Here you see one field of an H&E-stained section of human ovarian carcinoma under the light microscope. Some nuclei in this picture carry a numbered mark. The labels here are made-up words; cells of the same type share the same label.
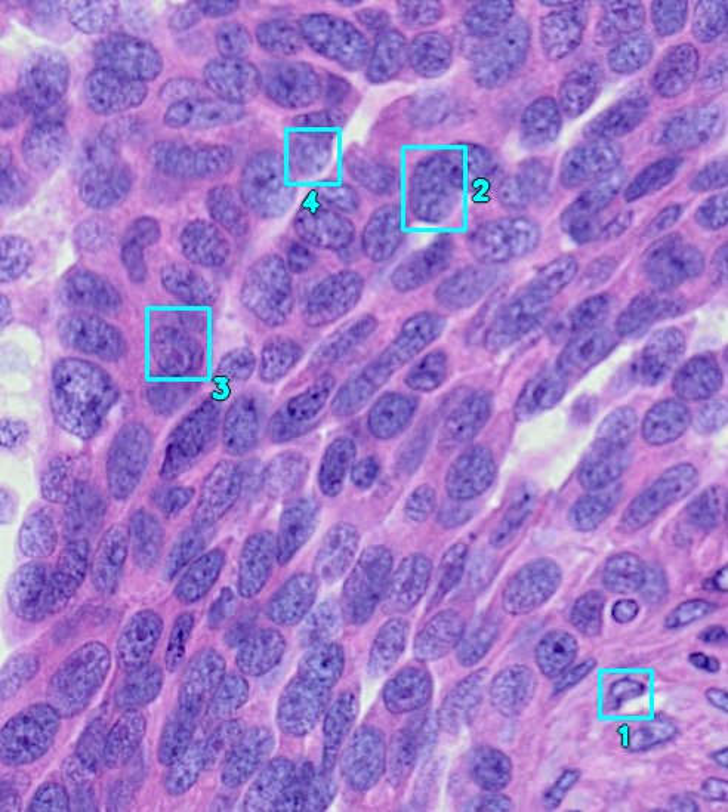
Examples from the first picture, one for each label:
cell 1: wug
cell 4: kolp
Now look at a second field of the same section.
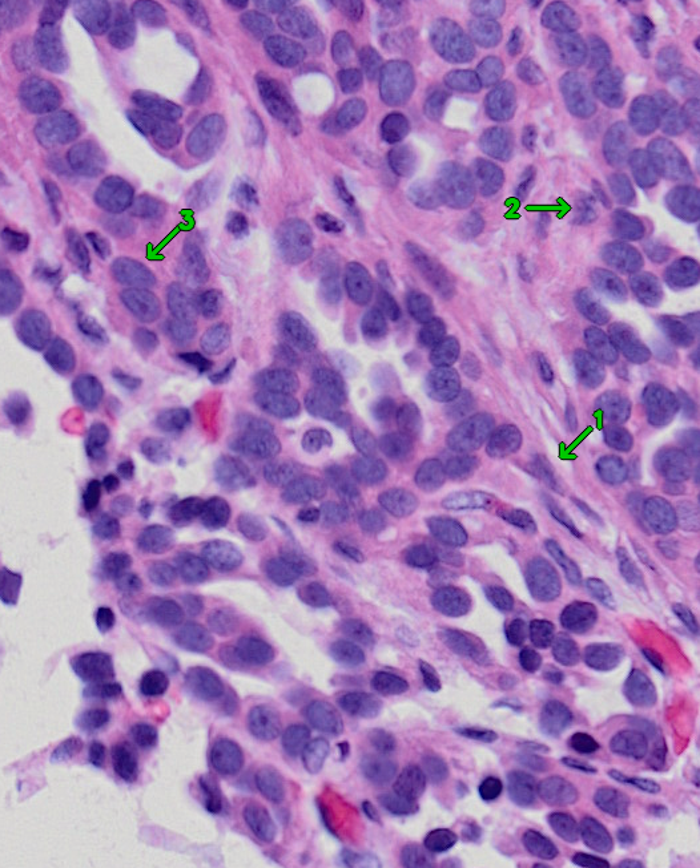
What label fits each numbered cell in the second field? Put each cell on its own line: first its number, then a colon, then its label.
1: wug
2: wug
3: kolp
